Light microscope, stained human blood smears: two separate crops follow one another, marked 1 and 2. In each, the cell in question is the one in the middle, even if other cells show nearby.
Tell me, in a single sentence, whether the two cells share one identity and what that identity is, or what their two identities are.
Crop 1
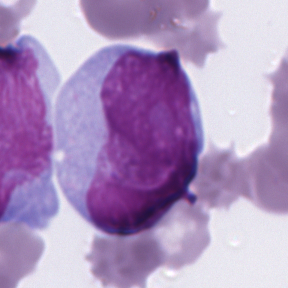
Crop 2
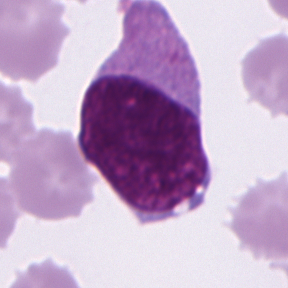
Yes, both crops show myeloblasts, with no exception.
